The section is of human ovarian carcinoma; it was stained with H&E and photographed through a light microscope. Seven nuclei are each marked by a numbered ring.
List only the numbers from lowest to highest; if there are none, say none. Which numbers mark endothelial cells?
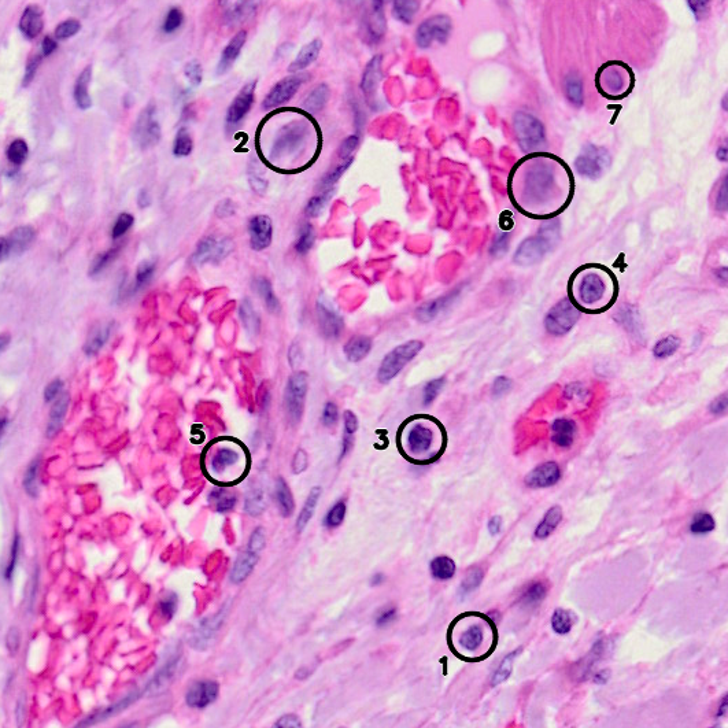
6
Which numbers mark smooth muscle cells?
7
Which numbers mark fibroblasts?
2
